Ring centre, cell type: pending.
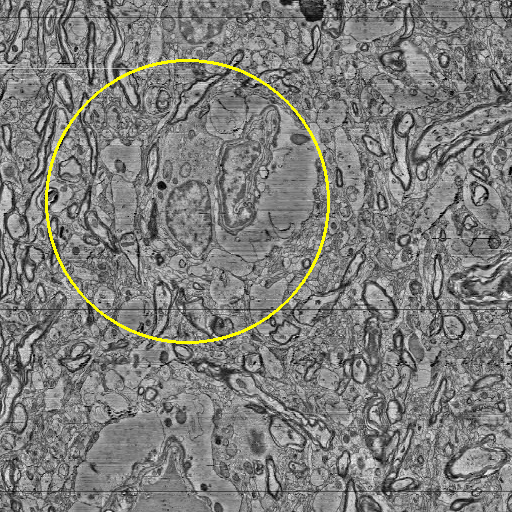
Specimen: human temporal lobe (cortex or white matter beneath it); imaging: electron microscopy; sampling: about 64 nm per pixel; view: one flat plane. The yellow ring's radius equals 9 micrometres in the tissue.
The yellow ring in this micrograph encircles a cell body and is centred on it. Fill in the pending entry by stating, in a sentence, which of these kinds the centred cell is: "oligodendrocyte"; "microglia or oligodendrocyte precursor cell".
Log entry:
The centred cell is recorded as an oligodendrocyte.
